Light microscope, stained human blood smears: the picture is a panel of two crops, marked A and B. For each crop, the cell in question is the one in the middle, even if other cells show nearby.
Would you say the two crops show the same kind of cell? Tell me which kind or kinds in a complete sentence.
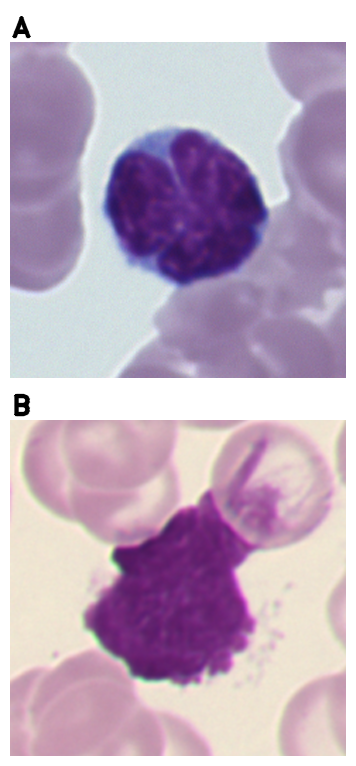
No, crop B centres on a smudge cell, and crop A centres on a typical lymphocyte.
